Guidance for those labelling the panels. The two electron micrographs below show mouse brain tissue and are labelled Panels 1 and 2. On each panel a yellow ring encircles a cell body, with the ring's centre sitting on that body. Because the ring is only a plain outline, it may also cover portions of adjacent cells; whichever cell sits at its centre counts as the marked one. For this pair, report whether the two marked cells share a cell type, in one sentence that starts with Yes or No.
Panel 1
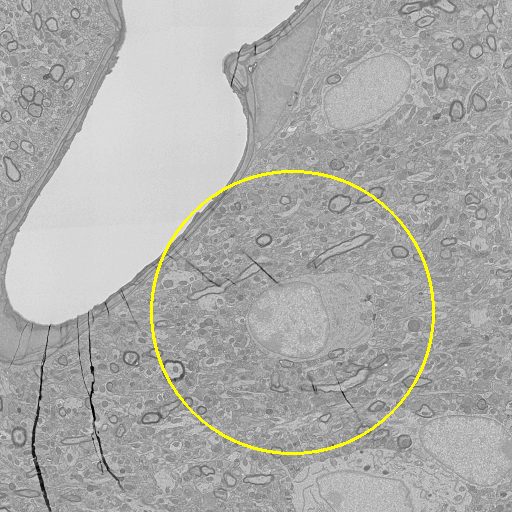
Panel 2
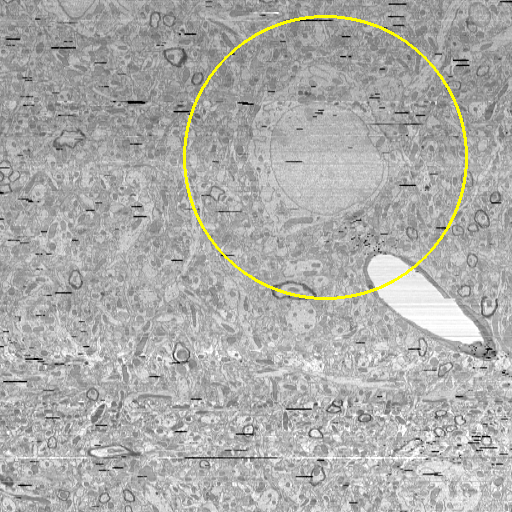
No, in Panel 1 and Panel 2 the marked cells at the ring centres are of two types.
